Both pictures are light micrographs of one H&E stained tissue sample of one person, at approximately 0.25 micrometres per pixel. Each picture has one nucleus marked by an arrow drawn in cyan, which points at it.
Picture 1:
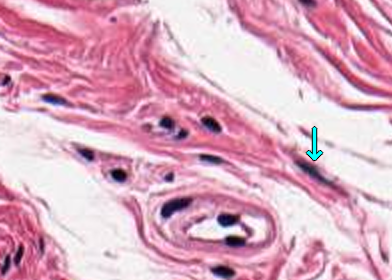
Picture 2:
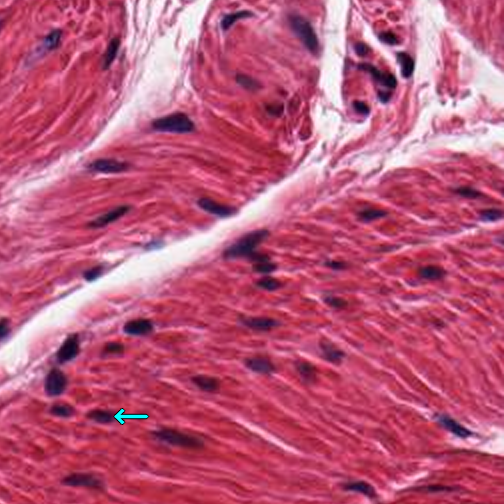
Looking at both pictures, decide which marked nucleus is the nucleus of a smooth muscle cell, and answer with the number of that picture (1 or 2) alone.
2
